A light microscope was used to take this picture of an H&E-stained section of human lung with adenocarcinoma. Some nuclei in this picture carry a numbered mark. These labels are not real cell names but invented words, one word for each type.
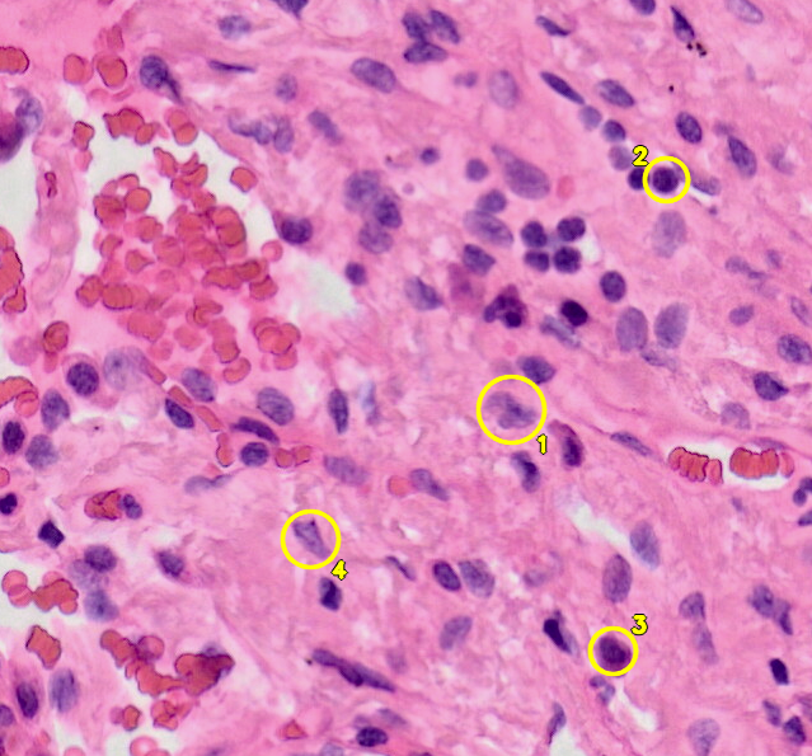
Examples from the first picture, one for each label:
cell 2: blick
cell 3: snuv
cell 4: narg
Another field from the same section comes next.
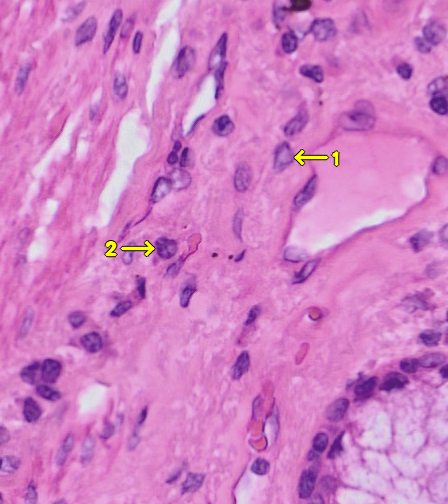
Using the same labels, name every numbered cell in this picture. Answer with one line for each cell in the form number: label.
1: narg
2: snuv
